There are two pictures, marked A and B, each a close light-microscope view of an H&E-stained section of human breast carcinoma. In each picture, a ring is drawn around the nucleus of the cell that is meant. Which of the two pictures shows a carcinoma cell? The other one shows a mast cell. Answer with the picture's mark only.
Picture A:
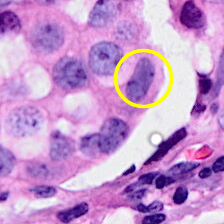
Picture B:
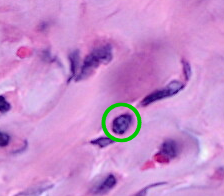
A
